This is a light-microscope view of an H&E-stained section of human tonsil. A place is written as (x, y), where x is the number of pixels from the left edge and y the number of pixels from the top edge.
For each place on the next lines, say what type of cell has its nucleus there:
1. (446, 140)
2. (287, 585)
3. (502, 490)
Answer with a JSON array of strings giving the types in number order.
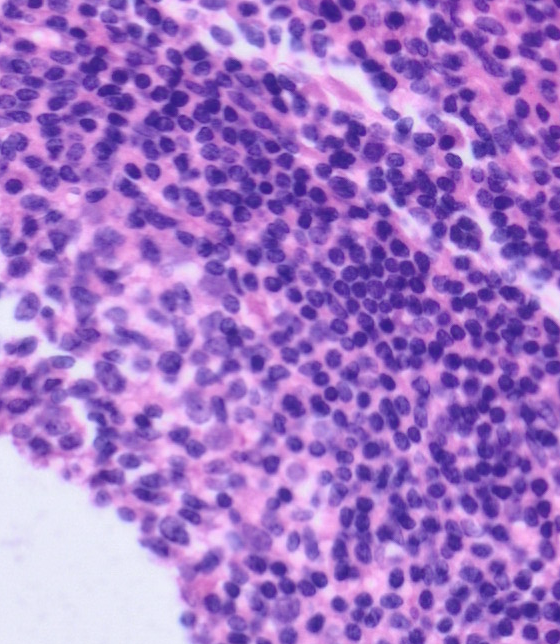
["plasma cell", "small lymphocyte", "small lymphocyte"]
